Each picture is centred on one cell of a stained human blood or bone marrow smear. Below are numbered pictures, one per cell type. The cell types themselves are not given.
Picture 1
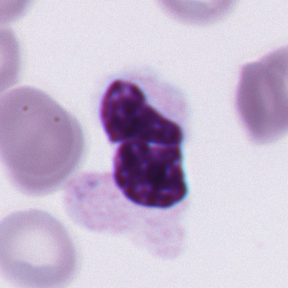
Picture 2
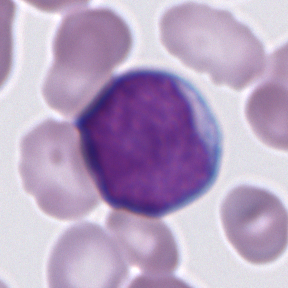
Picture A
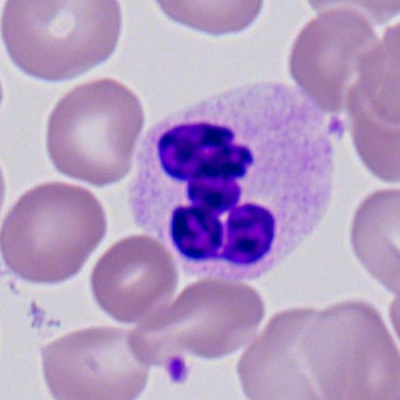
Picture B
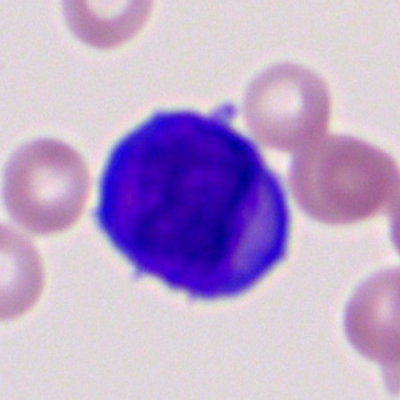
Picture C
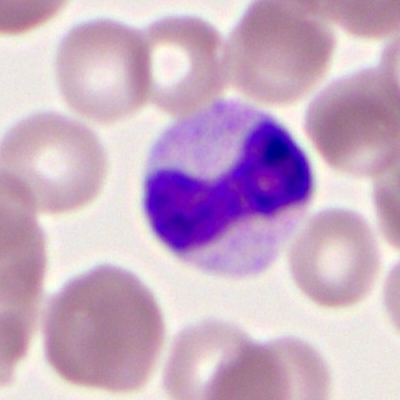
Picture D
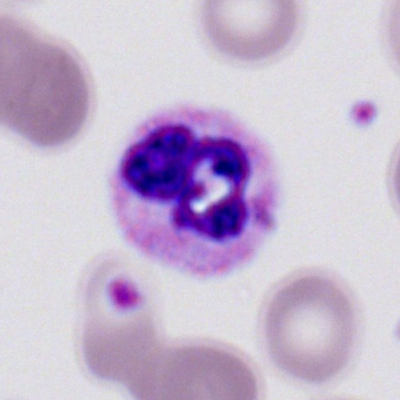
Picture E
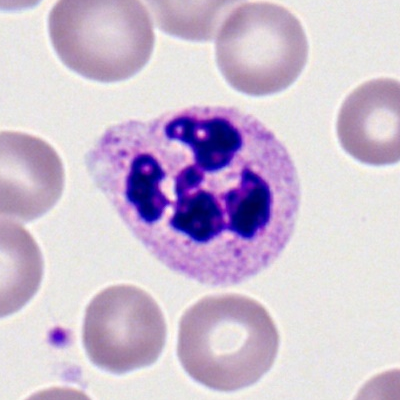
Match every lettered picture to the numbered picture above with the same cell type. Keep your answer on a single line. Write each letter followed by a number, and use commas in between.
A 1, B 2, C 1, D 1, E 1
